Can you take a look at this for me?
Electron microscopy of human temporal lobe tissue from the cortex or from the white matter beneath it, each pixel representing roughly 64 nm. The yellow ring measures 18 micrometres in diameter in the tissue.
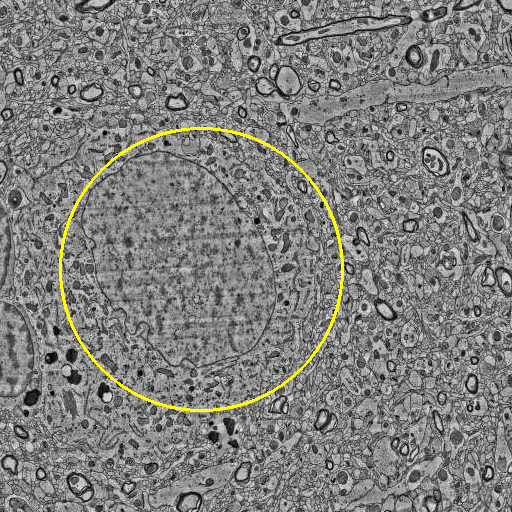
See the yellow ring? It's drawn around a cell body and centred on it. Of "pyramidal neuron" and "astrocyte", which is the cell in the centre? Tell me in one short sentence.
The one in the centre is a pyramidal neuron.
